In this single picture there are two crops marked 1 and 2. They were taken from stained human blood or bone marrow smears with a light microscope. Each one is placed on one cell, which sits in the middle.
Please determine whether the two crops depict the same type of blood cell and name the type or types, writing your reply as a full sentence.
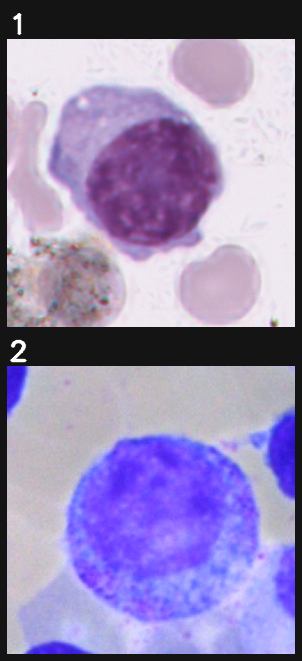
No, shown in crop 1 is a plasma cell, and shown in crop 2 is a promyelocyte.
